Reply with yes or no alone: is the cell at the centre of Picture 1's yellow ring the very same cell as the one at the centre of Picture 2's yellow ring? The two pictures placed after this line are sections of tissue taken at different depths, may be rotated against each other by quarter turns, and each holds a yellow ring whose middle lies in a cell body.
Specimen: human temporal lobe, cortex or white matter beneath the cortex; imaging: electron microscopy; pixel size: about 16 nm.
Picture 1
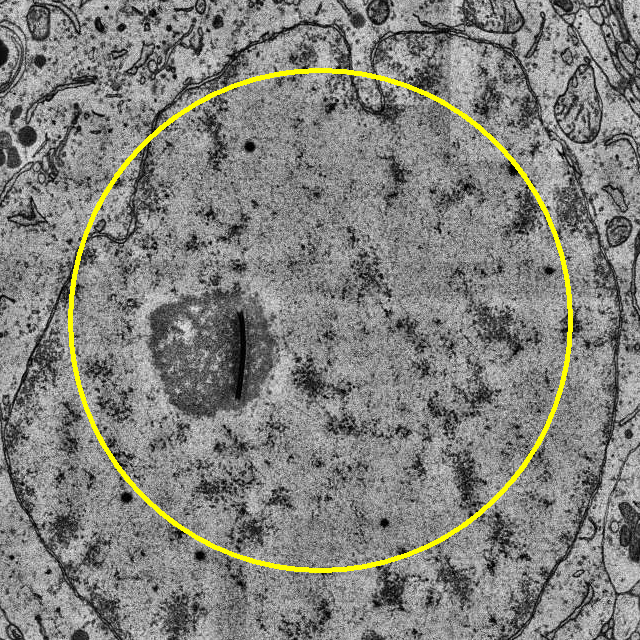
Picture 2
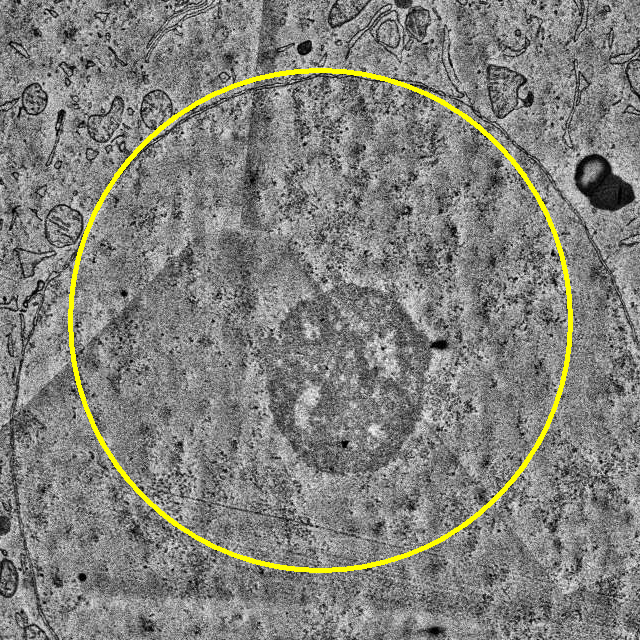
no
